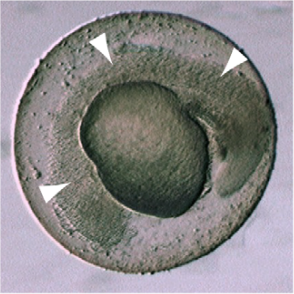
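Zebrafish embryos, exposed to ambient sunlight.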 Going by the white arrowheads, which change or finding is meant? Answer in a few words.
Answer: Necrotic regions.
